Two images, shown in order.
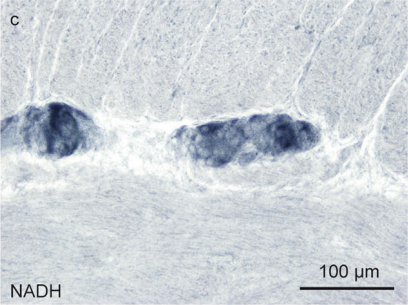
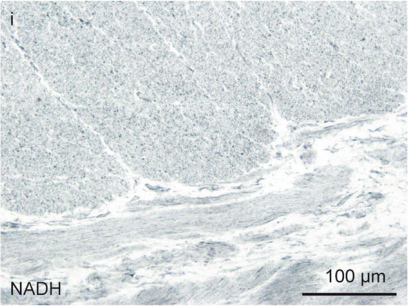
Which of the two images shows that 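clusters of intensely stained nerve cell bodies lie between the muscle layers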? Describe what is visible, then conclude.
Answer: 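Second image: the band between the muscle layers holds only pale connective tissue, no dark stained bodies. First image: two dark blue oval clusters sit in the band between the muscle layers.
Answer: the first image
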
